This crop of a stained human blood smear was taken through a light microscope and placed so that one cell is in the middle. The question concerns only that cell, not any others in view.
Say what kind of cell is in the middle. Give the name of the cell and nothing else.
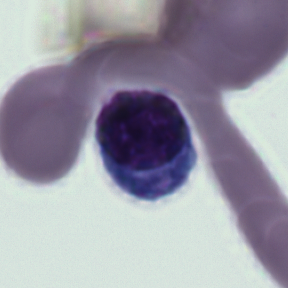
plasma cell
